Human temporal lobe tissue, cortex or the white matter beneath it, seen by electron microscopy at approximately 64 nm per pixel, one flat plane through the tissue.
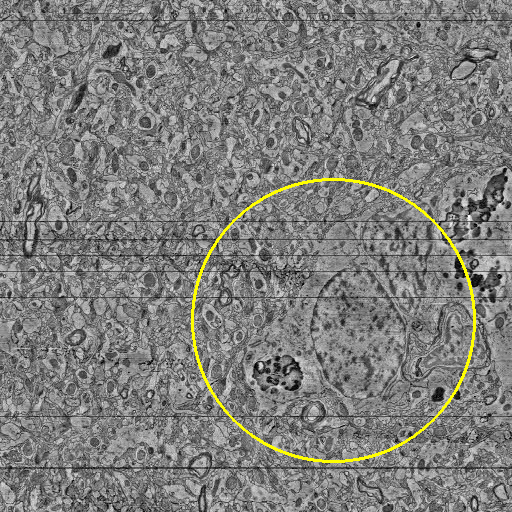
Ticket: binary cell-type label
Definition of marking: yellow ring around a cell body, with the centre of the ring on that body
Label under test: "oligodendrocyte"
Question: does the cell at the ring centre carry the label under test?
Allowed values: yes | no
no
